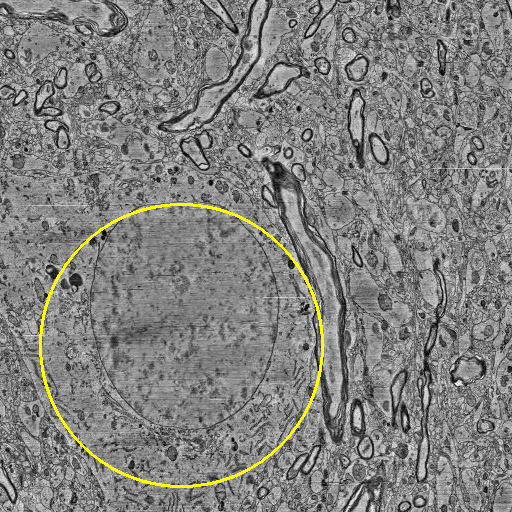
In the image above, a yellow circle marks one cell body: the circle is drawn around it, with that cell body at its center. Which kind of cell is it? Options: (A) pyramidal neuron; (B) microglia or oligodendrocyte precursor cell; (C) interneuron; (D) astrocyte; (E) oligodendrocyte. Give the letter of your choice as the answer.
A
